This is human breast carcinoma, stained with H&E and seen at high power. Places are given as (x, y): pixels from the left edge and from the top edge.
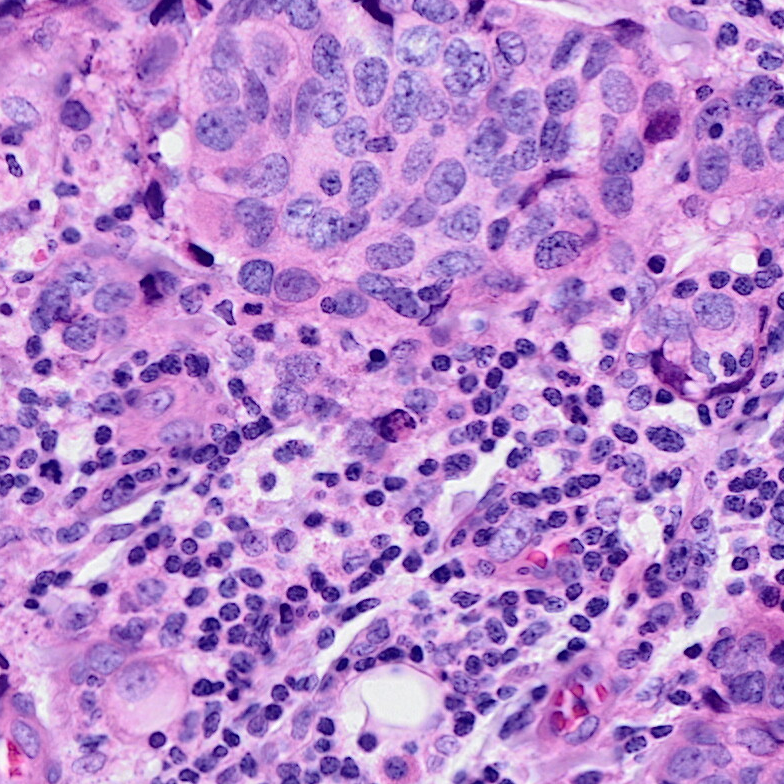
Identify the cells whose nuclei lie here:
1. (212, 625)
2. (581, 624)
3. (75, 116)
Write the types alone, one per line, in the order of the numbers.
lymphocyte
lymphocyte
carcinoma cell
